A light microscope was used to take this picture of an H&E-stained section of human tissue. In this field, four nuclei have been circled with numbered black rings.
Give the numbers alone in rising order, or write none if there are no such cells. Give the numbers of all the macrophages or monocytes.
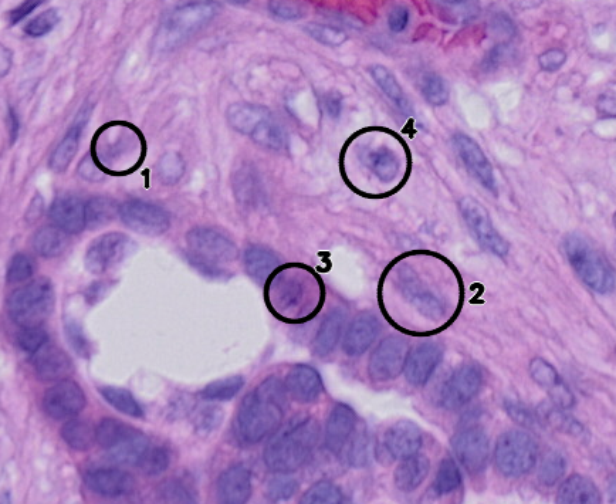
4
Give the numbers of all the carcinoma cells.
3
